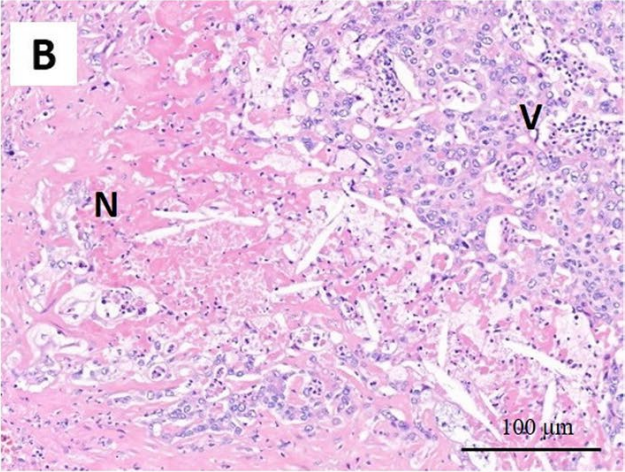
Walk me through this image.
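This is tumor tissue in which large cancer cells with ample pink cytoplasm and big round nuclei with visible nucleoli lie in sheets and nests on one side. Among them are many small round cells with dark compact nuclei, an infiltrate of inflammatory cells. Scattered slit-like clear spaces run through both areas.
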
